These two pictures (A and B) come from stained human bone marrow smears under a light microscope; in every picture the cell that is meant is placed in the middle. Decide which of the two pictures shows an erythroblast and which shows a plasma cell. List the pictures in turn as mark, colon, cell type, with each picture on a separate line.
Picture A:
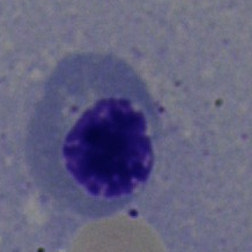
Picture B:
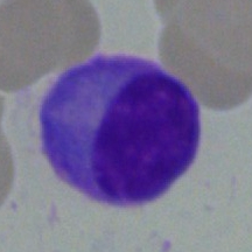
A: erythroblast
B: plasma cell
